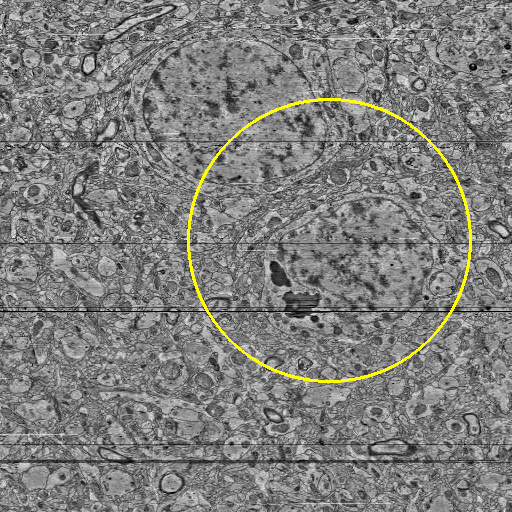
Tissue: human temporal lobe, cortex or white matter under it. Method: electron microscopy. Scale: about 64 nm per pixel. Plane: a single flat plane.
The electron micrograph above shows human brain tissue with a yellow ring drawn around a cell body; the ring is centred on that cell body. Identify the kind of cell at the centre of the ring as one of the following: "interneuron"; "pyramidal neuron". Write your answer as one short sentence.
The cell at the centre of the ring is an interneuron.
